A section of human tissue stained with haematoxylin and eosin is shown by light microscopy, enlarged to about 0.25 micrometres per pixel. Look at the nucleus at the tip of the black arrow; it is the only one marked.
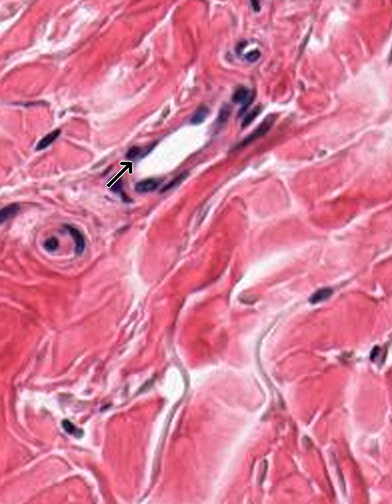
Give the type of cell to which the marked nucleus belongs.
endothelial cell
